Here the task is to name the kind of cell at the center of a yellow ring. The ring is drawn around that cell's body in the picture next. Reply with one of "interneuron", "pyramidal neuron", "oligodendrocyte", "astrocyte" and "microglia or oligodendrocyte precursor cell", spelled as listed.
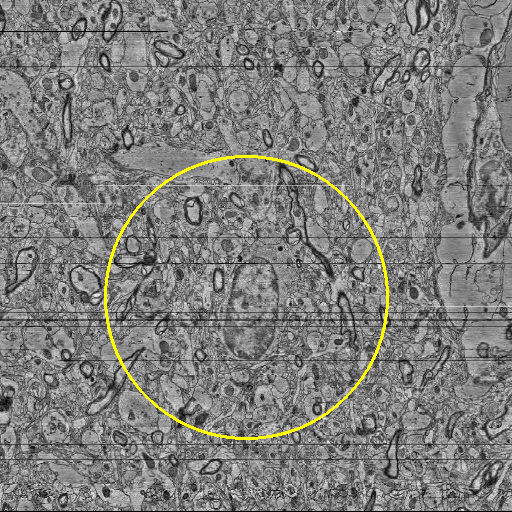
oligodendrocyte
